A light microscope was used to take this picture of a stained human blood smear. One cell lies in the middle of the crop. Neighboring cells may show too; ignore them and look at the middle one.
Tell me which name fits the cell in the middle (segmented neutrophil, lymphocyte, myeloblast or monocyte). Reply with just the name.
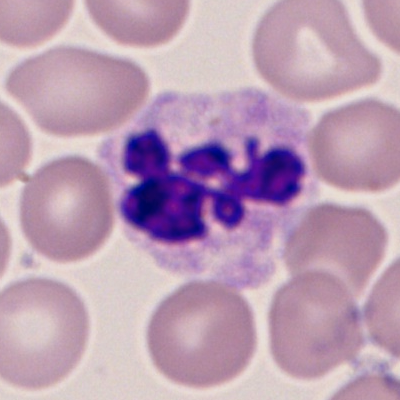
segmented neutrophil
